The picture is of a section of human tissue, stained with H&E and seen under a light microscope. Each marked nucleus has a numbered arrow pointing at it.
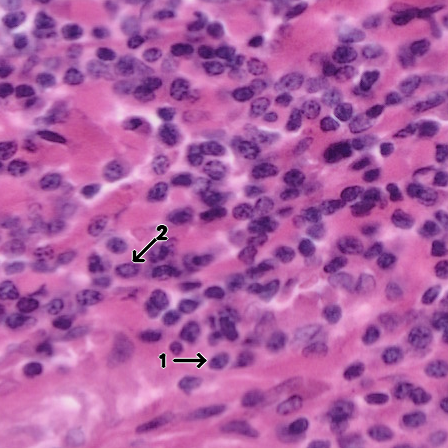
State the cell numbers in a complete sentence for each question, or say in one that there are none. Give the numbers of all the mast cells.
In short, cell 1 is a mast cell; the others are not.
